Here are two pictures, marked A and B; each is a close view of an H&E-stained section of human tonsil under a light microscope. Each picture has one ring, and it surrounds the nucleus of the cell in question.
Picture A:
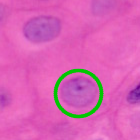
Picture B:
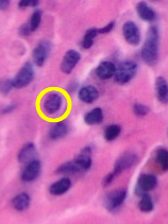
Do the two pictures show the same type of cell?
no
